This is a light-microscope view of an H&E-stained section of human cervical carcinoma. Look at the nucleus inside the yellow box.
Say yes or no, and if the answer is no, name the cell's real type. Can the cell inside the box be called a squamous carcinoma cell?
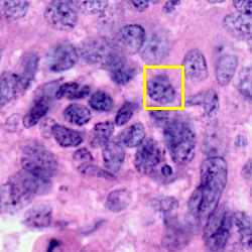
Yes.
